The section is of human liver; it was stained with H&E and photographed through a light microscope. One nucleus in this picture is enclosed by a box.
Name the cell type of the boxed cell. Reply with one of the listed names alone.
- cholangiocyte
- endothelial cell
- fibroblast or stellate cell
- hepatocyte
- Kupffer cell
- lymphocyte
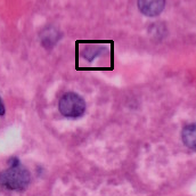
endothelial cell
